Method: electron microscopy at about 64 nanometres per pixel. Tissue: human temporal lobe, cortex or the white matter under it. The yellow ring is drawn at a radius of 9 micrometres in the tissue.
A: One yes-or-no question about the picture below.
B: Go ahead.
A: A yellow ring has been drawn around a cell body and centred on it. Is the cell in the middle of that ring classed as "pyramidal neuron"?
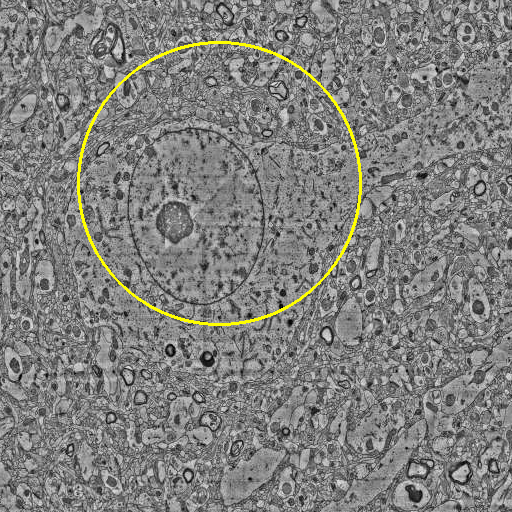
Yes, it is classed that way.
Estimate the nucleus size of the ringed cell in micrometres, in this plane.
The nucleus of the ringed cell is approximately 11 by 9 micrometres in this plane.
